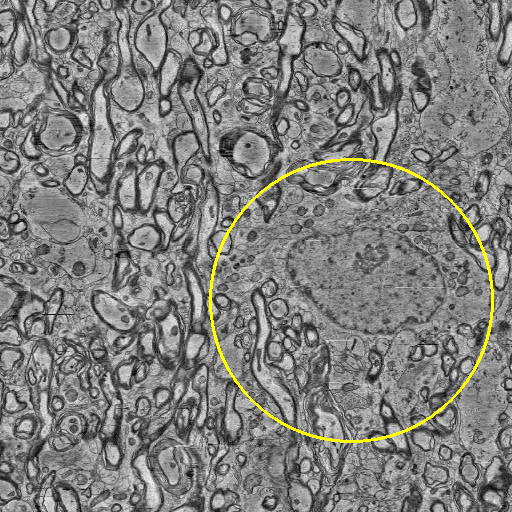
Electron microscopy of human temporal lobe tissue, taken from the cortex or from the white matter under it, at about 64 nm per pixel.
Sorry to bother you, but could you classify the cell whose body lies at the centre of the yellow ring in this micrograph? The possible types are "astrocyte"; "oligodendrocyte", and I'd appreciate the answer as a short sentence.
The ringed cell body is that of an astrocyte.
